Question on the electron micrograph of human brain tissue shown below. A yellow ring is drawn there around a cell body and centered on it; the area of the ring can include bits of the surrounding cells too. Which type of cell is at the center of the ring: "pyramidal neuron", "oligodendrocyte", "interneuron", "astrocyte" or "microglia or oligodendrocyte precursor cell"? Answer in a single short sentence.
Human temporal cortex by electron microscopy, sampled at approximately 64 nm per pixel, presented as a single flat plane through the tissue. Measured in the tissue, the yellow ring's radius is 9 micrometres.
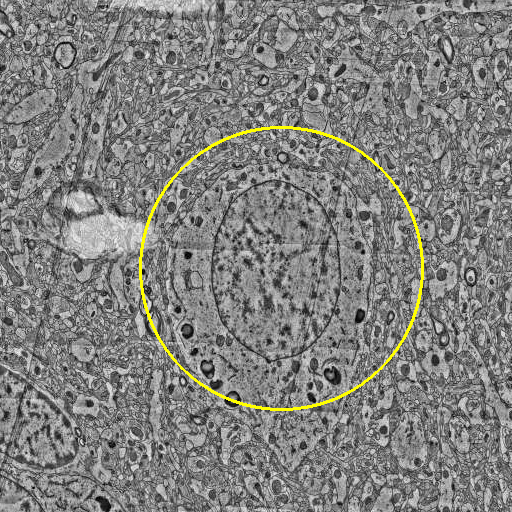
The ring is centered on a pyramidal neuron.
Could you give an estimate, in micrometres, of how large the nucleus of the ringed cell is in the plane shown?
The nucleus of the ringed cell is approximately 12 by 8 micrometres in this plane.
